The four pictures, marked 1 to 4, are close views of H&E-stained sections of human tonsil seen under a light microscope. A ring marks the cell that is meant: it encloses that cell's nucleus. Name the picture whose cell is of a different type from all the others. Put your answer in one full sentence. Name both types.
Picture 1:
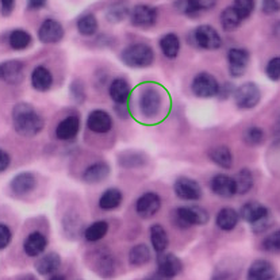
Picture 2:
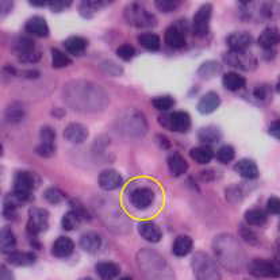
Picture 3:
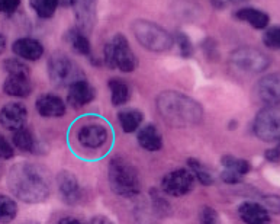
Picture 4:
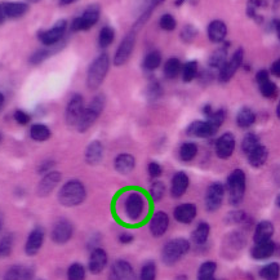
Picture 2 is the odd one out: it shows an endothelial cell, while the others show plasma cells.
